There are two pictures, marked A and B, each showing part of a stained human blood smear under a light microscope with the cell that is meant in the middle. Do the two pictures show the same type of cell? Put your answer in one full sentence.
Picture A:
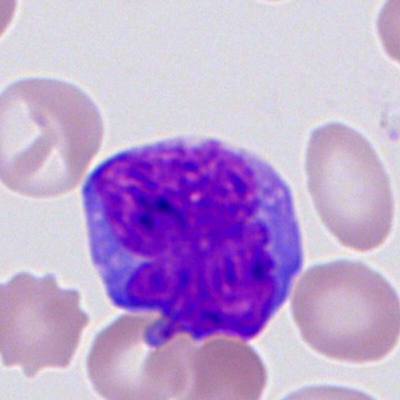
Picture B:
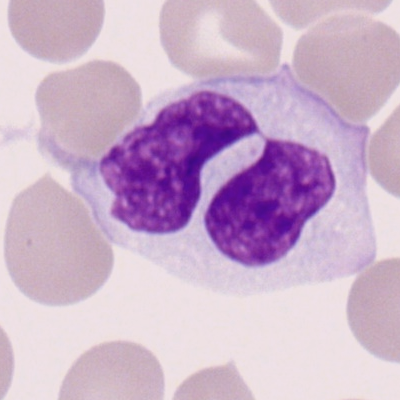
No, the types are not the same, since picture A shows a myeloblast and picture B a monocyte.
